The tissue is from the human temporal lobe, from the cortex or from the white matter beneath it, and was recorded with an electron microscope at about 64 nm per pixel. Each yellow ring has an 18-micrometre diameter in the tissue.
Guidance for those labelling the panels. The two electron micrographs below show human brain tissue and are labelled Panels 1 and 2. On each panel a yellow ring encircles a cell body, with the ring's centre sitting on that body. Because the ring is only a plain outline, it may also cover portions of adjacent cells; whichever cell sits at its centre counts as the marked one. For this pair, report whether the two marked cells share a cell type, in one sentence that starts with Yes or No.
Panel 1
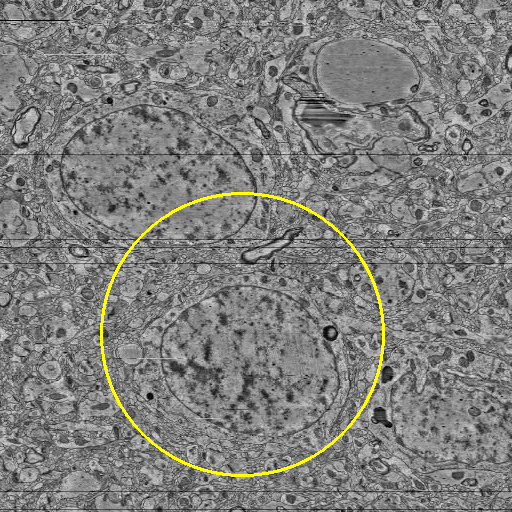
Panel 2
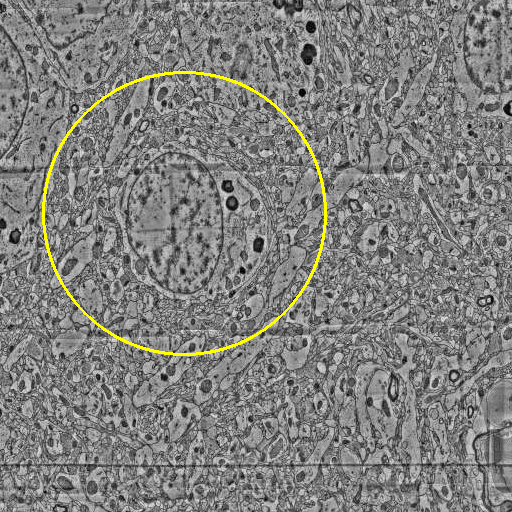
Yes, in Panel 1 and Panel 2 the marked cells at the ring centres share one type.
